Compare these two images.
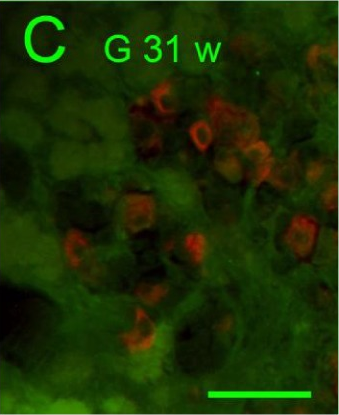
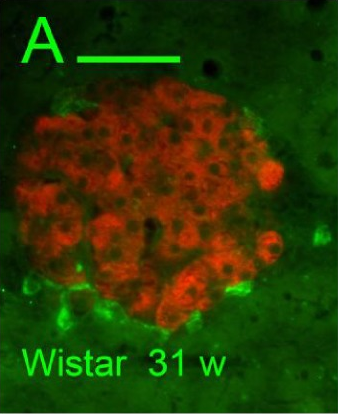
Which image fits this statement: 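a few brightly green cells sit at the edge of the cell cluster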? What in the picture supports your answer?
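The second image. First image: scattered red-rimmed cells in diffuse green background, no distinct bright green cells. Second image: several small bright green cells lie at the periphery of the red cell cluster.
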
